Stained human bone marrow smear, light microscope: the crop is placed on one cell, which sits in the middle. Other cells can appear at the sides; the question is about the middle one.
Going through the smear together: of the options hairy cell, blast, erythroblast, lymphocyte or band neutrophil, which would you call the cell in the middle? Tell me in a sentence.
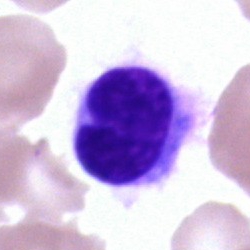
At the center of the crop sits a hairy cell.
